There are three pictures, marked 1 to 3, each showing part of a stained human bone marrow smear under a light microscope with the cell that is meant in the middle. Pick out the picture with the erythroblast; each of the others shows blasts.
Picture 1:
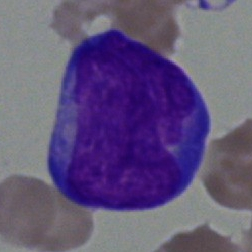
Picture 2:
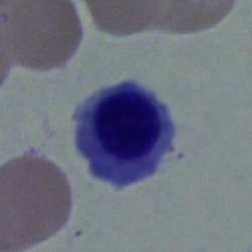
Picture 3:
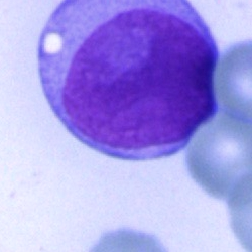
2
